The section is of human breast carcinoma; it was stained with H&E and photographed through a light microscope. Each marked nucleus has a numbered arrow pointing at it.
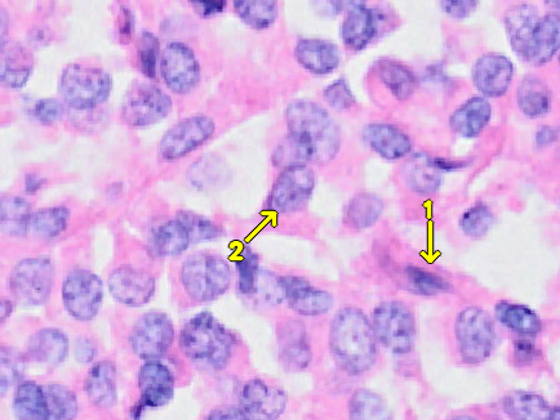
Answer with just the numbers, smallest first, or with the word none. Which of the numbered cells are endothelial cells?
1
